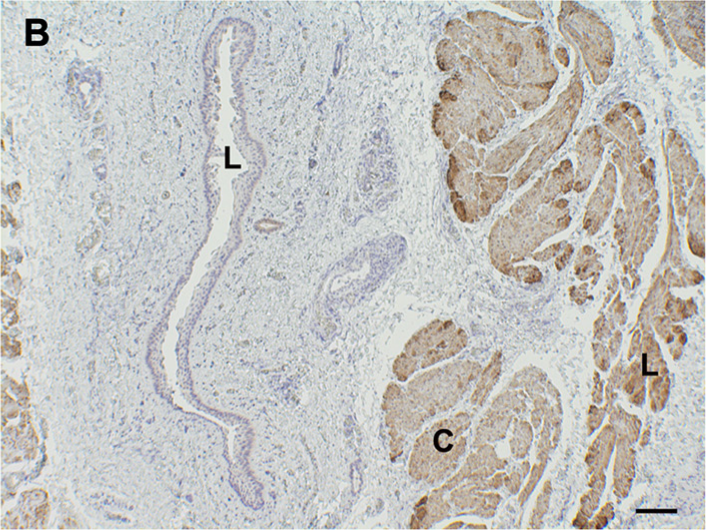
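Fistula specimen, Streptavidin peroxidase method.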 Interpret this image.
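The bundles are divided by pale septa and are cut in varied orientations. The slit-like lumen on the left is lined by a thin bluish epithelium. The stroma around the lumen is pale blue and contains some small glandular profiles.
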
